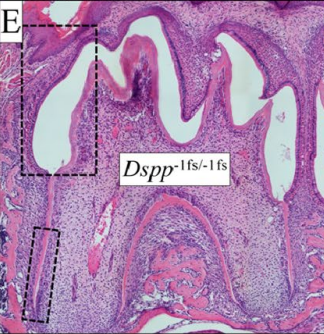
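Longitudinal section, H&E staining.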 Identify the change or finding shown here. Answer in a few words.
Very thin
